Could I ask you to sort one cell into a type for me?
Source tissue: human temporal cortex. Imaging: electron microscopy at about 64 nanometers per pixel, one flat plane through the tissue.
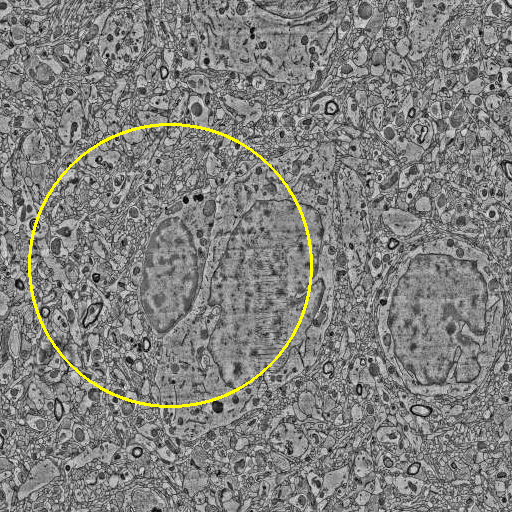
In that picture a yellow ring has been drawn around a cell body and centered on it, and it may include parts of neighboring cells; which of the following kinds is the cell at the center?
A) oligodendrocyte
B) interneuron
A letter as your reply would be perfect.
A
